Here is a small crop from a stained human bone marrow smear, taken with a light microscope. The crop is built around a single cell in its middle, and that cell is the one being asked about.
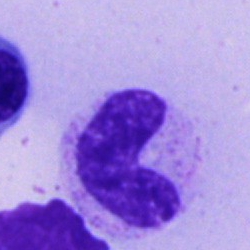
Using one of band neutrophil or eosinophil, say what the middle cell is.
band neutrophil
